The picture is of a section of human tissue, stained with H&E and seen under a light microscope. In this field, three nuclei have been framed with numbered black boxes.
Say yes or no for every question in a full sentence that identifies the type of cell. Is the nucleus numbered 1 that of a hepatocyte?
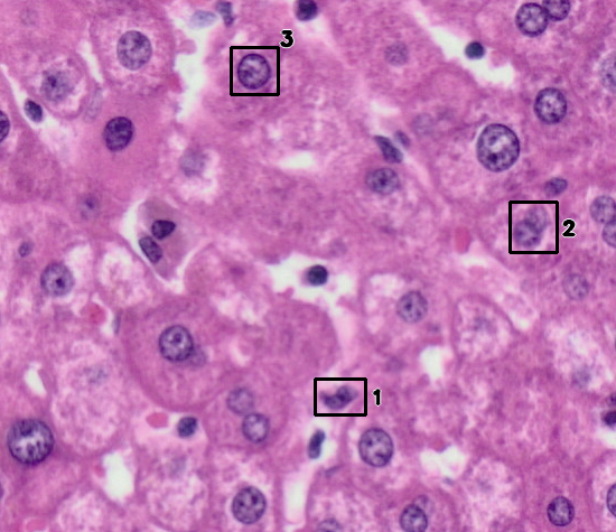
No, cell 1 is a Kupffer cell, not a hepatocyte.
